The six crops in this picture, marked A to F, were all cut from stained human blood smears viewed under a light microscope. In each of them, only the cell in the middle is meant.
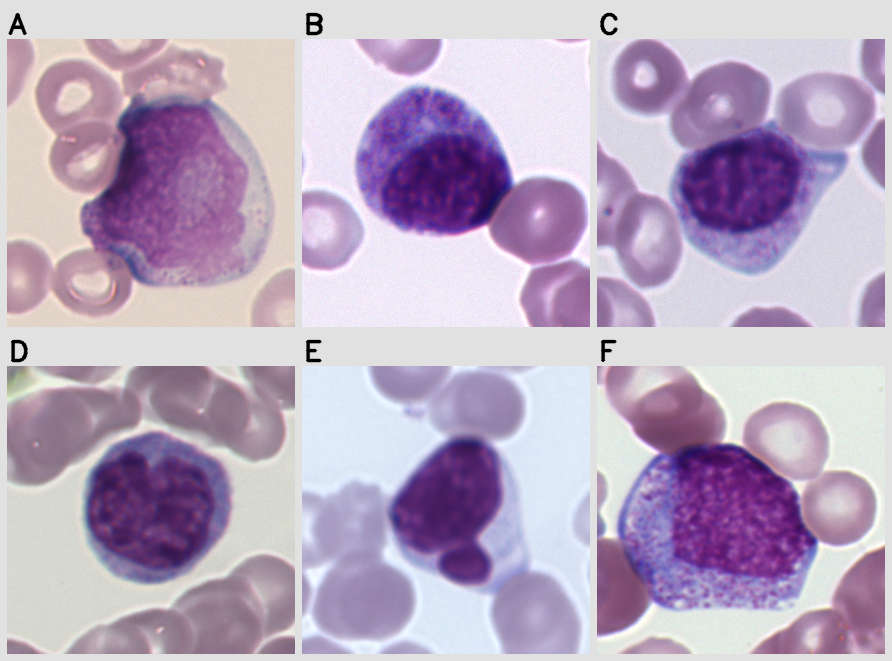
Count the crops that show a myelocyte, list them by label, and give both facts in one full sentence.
Within the set, crops B, C and F are the three showing myelocytes.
